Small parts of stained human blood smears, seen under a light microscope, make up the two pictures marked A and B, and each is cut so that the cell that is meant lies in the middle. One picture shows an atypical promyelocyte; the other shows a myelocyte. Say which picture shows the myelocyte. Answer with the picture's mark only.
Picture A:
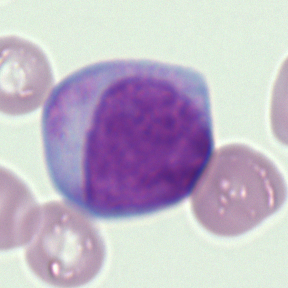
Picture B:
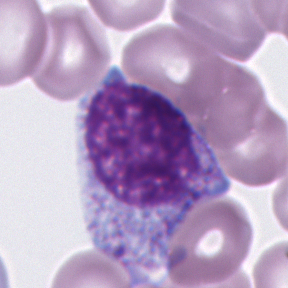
B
